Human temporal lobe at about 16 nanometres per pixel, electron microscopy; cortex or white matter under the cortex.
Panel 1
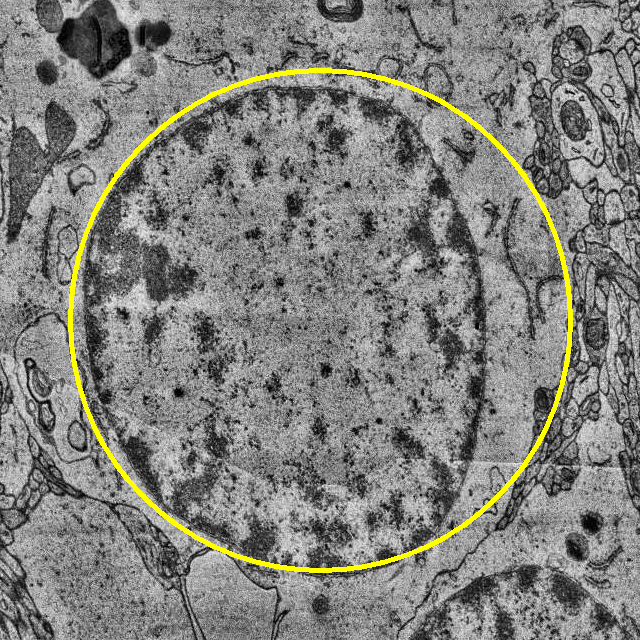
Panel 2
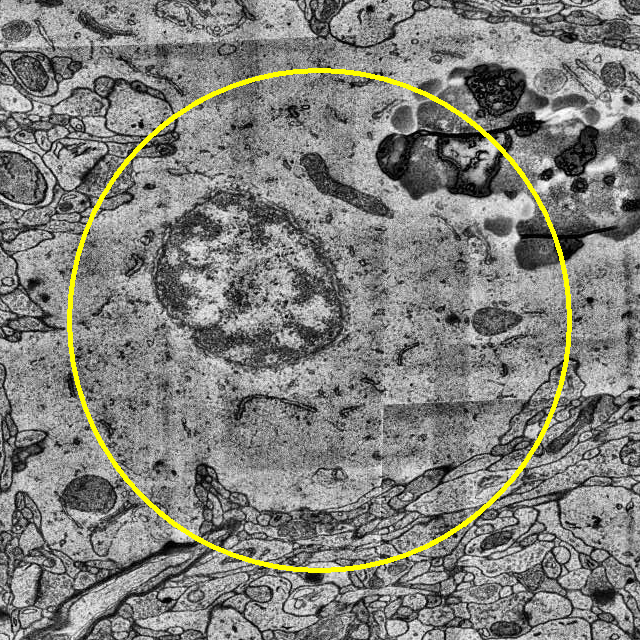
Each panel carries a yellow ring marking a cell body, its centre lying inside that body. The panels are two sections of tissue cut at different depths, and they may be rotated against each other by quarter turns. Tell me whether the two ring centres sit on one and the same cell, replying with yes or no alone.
yes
